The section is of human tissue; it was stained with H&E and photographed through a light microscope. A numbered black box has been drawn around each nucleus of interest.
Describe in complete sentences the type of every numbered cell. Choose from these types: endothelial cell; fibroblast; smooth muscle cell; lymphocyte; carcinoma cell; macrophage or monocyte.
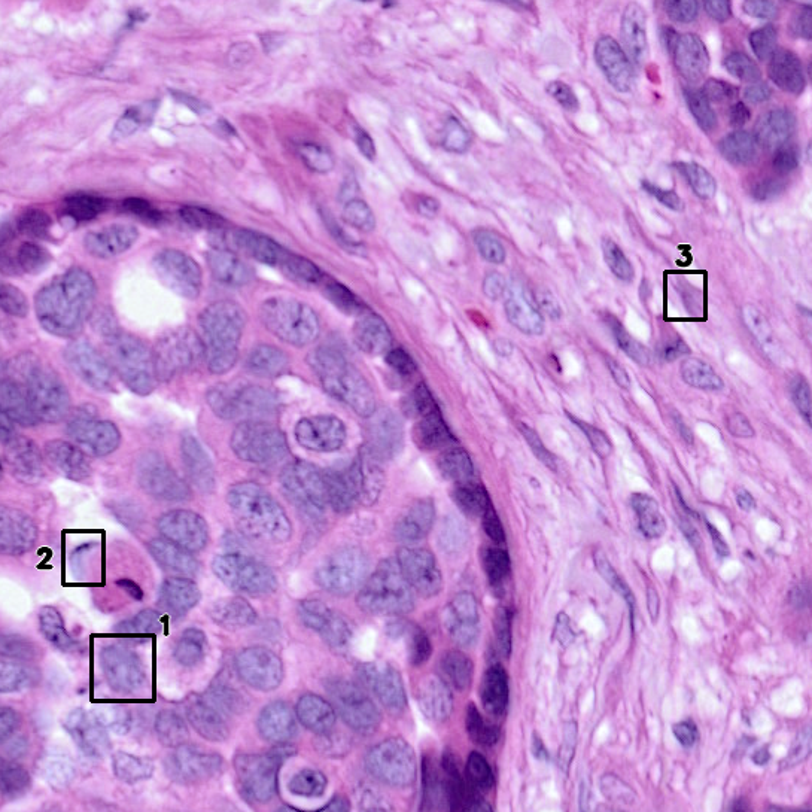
Cell 1 is a carcinoma cell, cell 2 is a macrophage or monocyte and cell 3 is a fibroblast.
